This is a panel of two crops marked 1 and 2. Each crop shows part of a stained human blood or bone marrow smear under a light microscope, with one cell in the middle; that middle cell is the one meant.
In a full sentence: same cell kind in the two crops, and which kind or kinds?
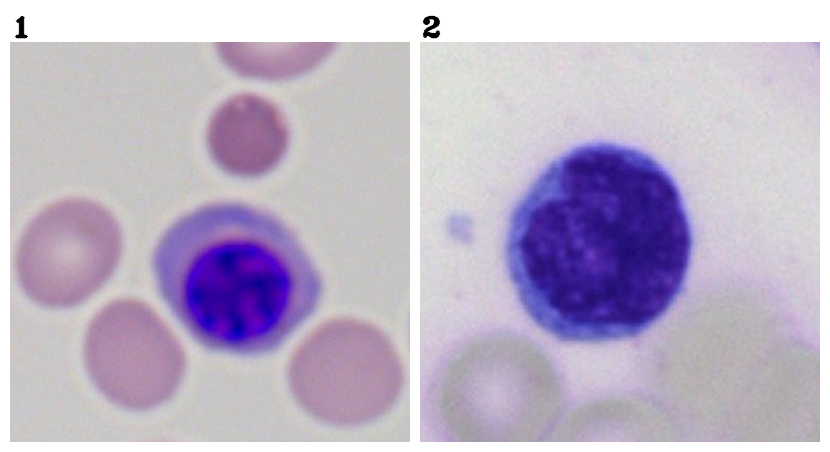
No, a normoblast is depicted by crop 1, a lymphocyte by crop 2.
